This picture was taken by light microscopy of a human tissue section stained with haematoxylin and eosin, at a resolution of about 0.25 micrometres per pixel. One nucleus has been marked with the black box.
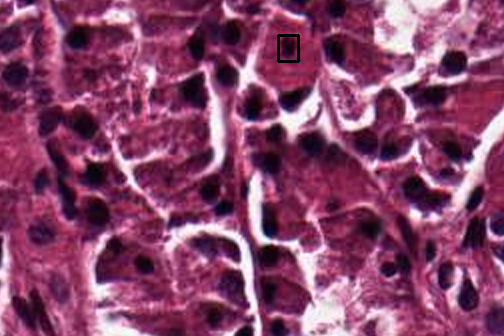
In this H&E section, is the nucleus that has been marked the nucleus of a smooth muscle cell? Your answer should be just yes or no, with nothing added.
no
